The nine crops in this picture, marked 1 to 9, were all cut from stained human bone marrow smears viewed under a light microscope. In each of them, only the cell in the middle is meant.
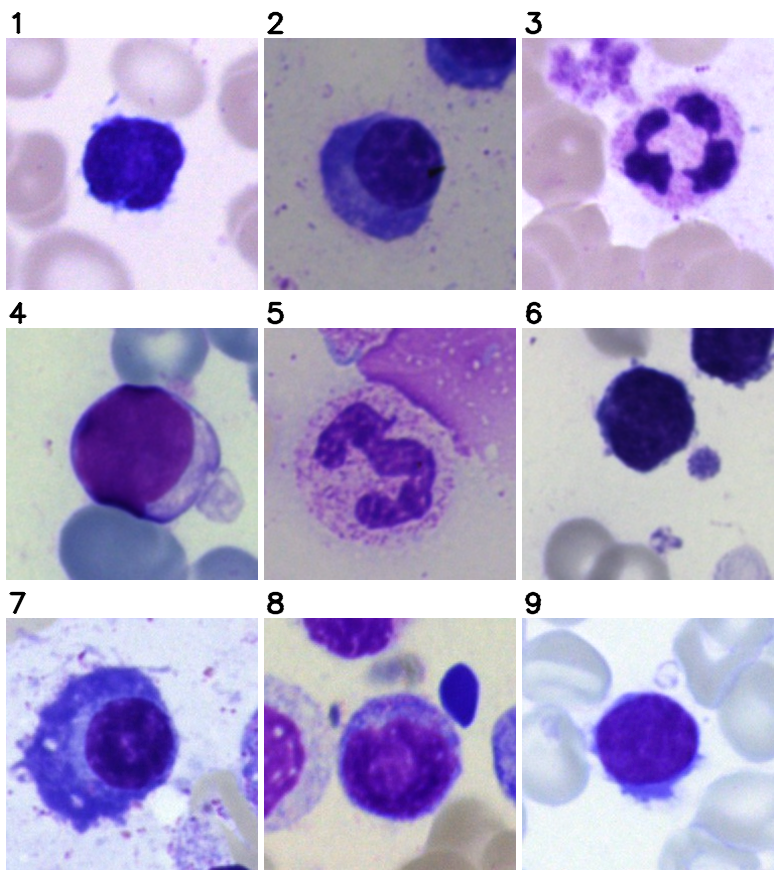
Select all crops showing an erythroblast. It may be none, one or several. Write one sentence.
No single crop in the group depicts an erythroblast.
